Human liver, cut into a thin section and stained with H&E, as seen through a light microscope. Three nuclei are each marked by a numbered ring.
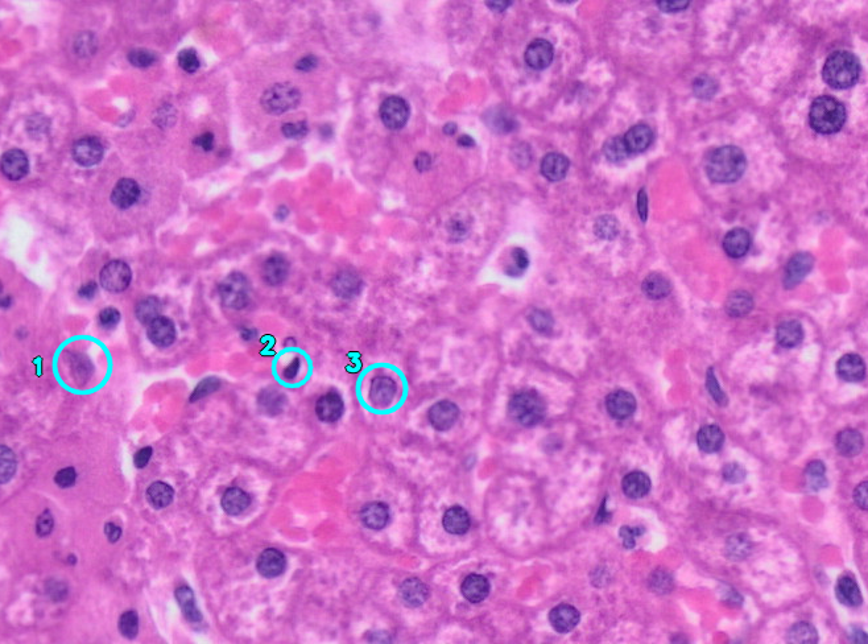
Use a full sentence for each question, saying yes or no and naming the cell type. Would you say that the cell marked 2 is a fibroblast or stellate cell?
Yes, for number 2, the cell is a fibroblast or stellate cell.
